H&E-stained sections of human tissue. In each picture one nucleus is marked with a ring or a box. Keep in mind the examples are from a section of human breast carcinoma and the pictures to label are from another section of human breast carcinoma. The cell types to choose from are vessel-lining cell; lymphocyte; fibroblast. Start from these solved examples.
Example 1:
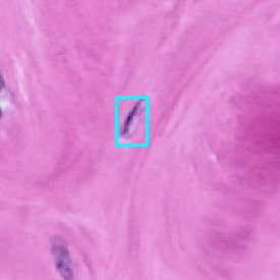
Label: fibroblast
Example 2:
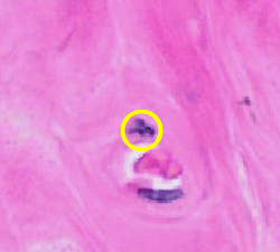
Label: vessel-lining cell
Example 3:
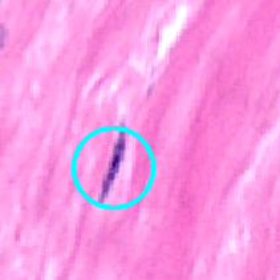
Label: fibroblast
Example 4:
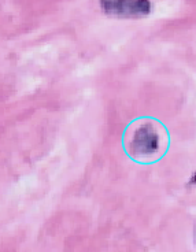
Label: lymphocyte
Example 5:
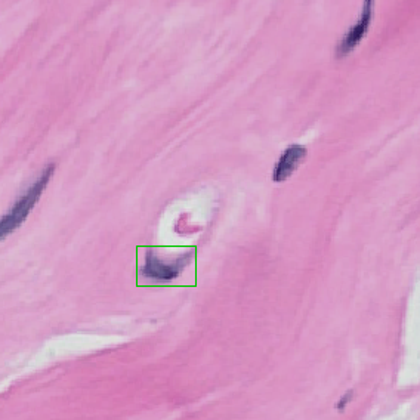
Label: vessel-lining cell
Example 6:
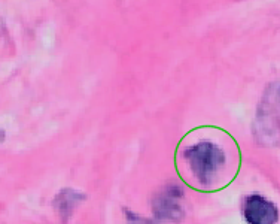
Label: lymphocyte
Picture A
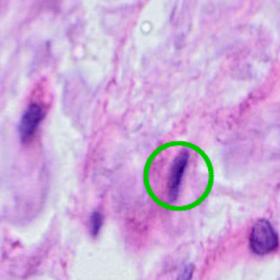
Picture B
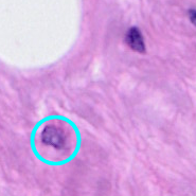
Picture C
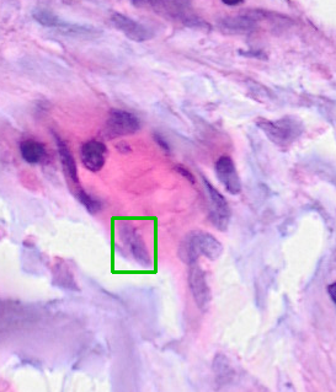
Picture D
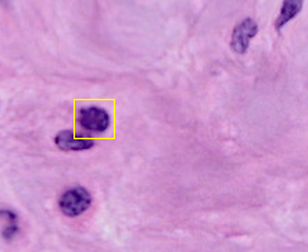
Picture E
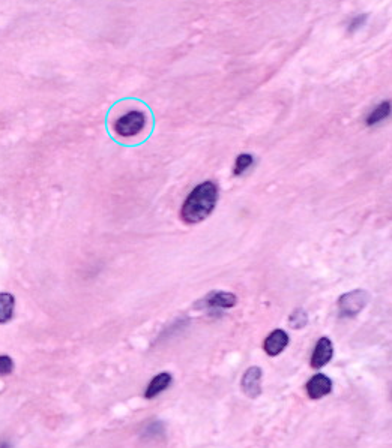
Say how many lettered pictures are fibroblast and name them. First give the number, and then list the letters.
2: A, B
